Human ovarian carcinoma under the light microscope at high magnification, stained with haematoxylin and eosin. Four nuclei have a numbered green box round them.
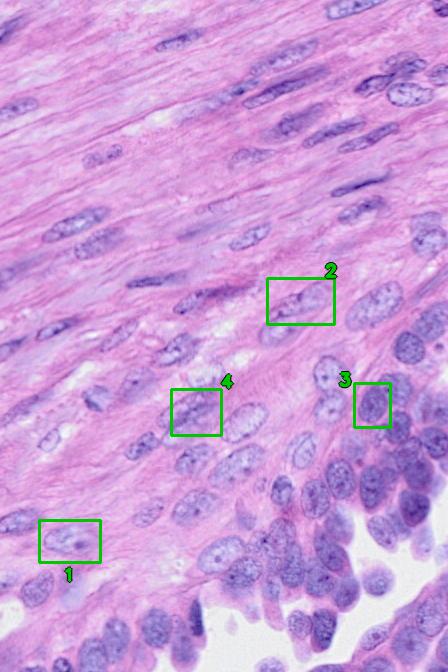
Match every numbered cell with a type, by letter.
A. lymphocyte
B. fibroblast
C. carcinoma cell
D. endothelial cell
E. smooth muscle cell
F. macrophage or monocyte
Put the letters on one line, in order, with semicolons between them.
B; B; C; B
